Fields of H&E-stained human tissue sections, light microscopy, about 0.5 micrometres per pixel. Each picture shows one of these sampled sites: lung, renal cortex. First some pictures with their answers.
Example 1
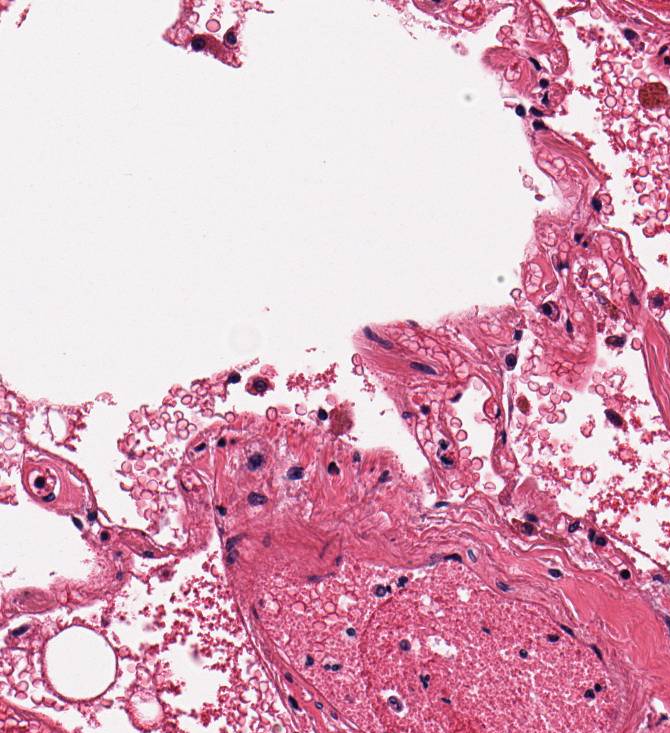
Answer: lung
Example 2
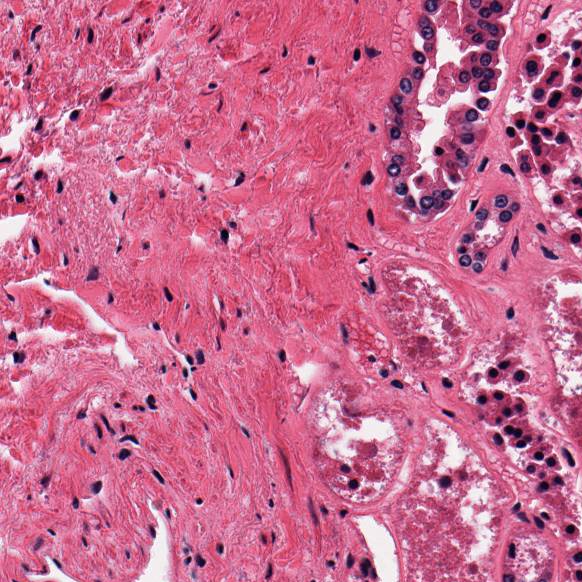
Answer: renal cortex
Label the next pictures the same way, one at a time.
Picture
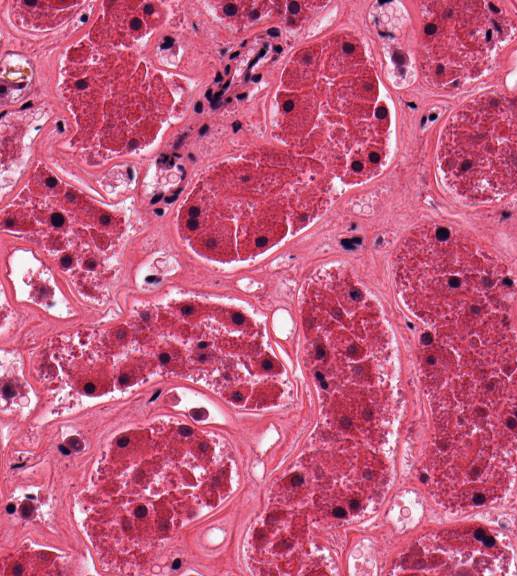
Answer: renal cortex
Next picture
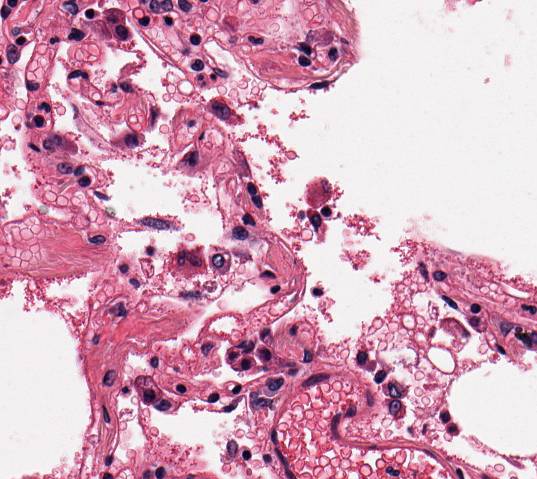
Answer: lung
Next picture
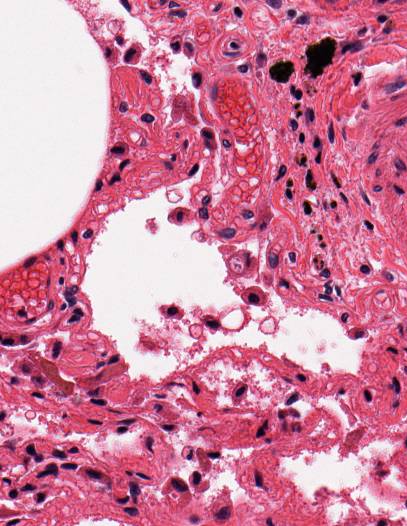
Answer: lung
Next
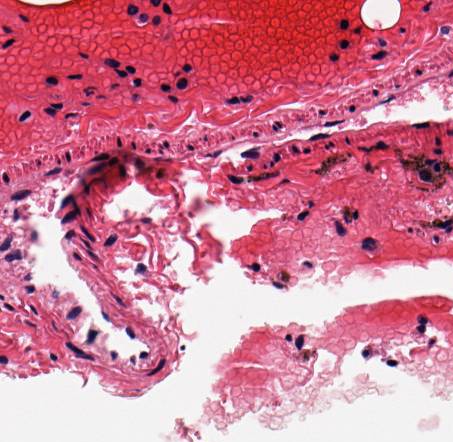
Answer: lung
